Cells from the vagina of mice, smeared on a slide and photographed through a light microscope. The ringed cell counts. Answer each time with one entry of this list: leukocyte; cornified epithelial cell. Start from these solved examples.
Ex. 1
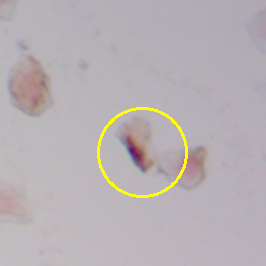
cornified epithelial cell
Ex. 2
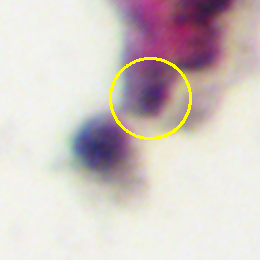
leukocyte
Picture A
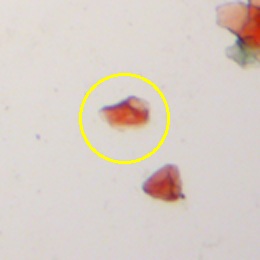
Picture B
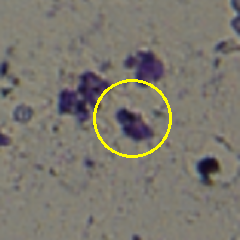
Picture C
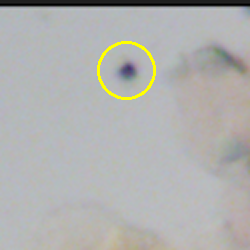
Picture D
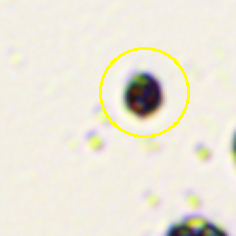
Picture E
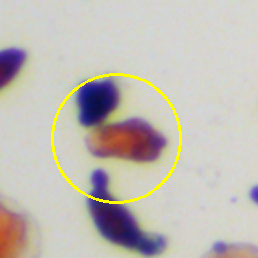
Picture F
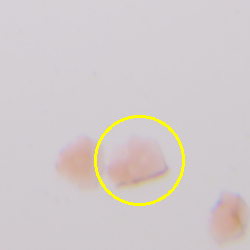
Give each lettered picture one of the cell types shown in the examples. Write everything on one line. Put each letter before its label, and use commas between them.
A cornified epithelial cell, B leukocyte, C leukocyte, D leukocyte, E cornified epithelial cell, F cornified epithelial cell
